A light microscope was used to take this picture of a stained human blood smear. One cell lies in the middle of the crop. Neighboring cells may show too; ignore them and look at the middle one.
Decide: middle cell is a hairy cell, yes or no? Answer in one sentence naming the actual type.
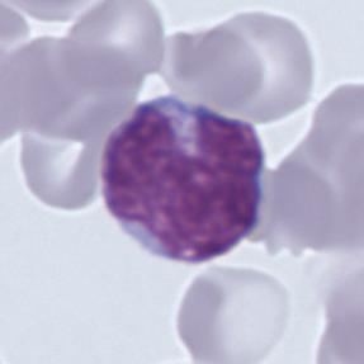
No, the middle cell is actually a typical lymphocyte rather than a hairy cell.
